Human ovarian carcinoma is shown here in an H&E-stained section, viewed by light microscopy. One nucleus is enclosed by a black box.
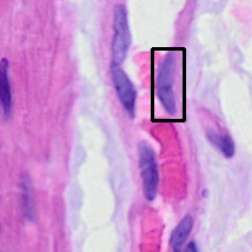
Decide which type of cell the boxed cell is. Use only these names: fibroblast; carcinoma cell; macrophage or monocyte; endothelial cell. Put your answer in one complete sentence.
At the level of cell identity, the boxed cell is an endothelial cell.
